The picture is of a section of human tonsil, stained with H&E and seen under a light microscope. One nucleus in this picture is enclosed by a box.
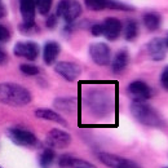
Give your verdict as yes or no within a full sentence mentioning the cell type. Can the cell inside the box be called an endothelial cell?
Yes, the cell inside the box is correctly named as an endothelial cell.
